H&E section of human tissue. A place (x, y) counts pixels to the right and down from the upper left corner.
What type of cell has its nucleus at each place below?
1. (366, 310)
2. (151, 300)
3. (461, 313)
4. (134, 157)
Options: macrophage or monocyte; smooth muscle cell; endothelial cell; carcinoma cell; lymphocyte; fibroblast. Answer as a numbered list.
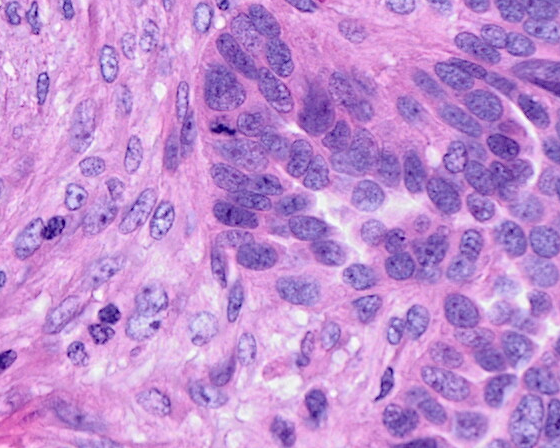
1. fibroblast
2. fibroblast
3. carcinoma cell
4. fibroblast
